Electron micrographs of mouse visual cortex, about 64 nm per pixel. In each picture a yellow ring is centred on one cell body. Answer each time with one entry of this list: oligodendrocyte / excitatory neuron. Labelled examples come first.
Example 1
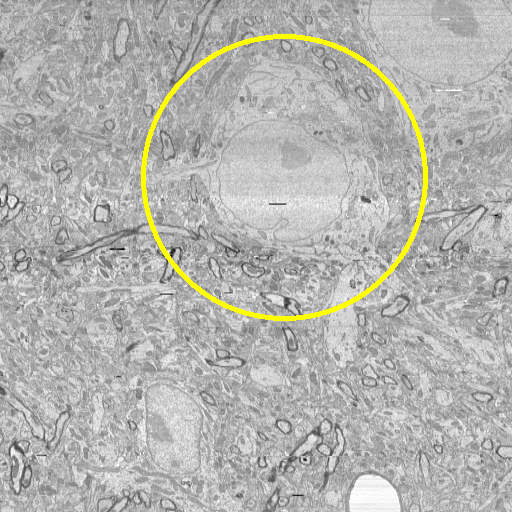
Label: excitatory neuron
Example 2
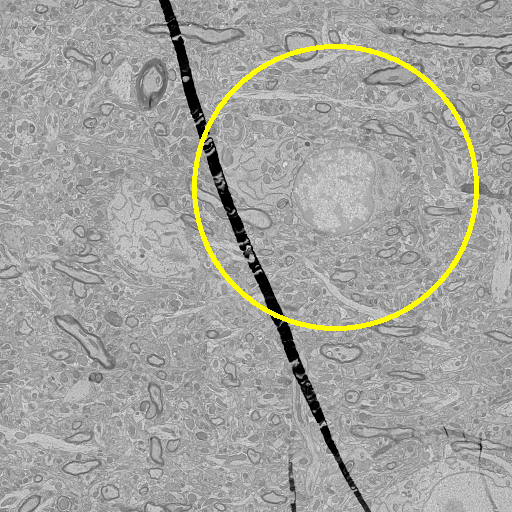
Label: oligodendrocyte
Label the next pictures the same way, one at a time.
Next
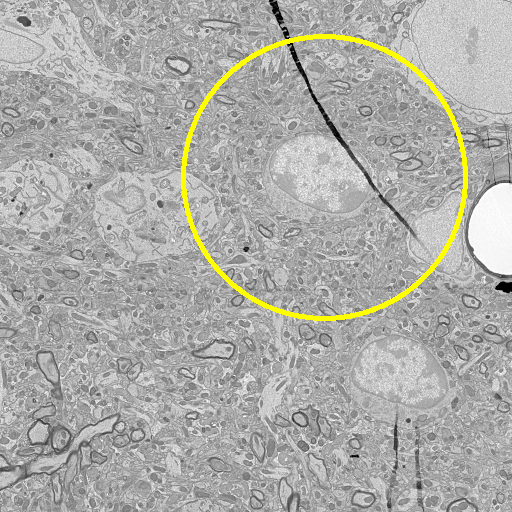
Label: oligodendrocyte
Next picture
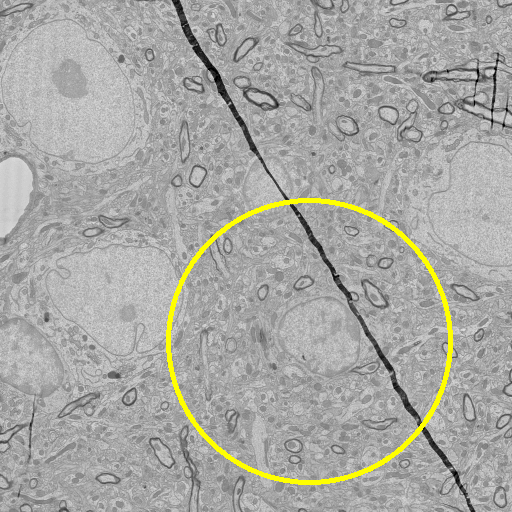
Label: oligodendrocyte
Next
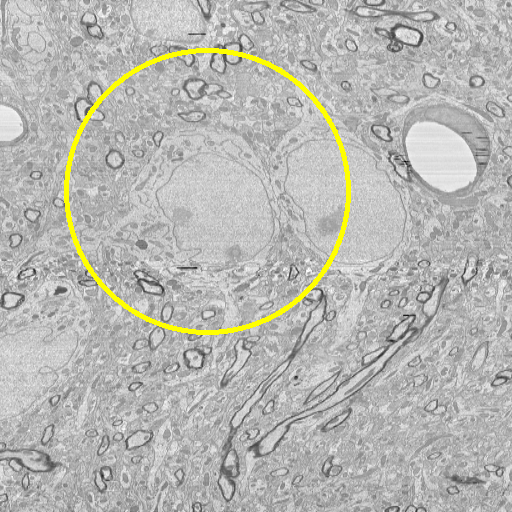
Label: excitatory neuron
